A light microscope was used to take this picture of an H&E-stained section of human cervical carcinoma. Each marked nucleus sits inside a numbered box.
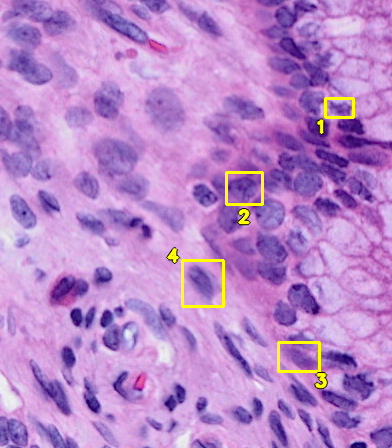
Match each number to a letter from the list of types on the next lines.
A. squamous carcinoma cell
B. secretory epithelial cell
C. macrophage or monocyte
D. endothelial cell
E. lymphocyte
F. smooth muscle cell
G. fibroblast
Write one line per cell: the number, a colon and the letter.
1: B
2: B
3: B
4: G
